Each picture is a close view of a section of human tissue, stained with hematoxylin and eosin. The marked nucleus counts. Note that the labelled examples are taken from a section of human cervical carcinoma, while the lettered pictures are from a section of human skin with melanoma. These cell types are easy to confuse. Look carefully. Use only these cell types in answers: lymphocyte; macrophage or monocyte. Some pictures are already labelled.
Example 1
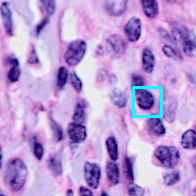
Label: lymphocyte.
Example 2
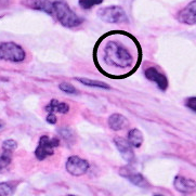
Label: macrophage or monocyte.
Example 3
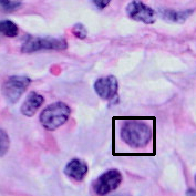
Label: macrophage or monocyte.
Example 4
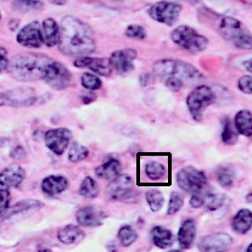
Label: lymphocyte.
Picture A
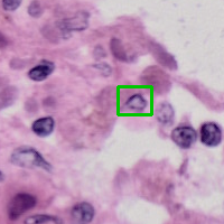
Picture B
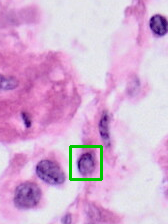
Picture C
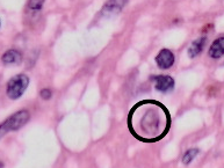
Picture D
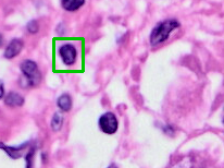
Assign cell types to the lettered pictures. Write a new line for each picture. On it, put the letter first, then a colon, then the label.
A: macrophage or monocyte.
B: macrophage or monocyte.
C: macrophage or monocyte.
D: lymphocyte.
